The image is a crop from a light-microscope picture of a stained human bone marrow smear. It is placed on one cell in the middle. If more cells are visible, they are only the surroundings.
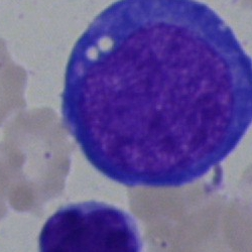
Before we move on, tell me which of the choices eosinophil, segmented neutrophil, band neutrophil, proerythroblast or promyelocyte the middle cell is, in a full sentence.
The central cell in this smear crop is a proerythroblast.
